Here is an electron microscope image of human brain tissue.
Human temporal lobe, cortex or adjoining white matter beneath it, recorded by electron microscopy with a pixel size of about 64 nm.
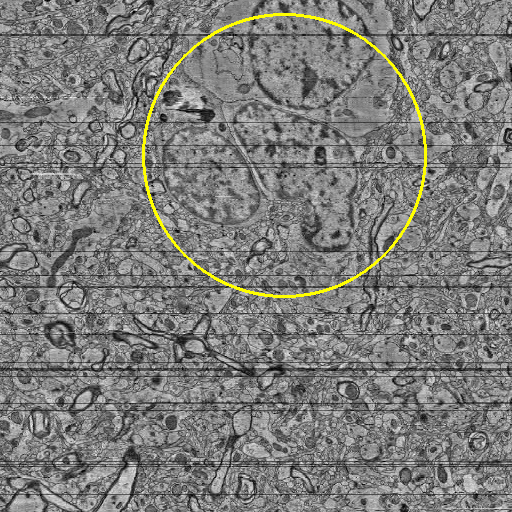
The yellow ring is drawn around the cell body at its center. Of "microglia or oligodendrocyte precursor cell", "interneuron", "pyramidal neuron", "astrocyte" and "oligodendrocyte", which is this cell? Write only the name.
microglia or oligodendrocyte precursor cell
